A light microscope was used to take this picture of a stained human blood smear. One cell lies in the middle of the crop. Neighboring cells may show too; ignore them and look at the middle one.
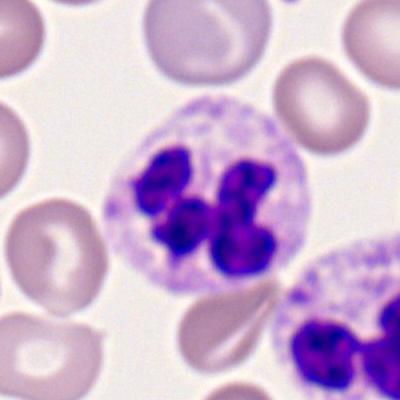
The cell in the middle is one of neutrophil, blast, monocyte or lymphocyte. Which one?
neutrophil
